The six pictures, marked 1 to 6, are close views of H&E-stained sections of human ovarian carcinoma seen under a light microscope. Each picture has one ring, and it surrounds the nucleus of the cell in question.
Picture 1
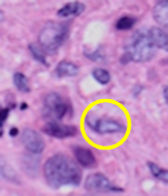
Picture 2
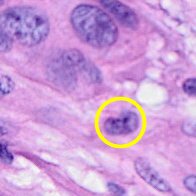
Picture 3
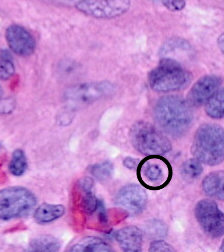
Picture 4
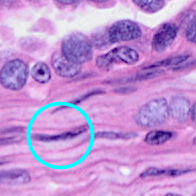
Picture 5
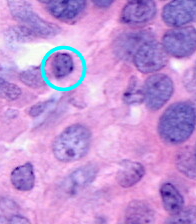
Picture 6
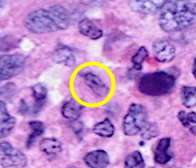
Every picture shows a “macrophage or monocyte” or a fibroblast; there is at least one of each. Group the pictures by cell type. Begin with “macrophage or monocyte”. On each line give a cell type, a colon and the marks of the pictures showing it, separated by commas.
macrophage or monocyte: 2, 3, 5, 6
fibroblast: 1, 4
